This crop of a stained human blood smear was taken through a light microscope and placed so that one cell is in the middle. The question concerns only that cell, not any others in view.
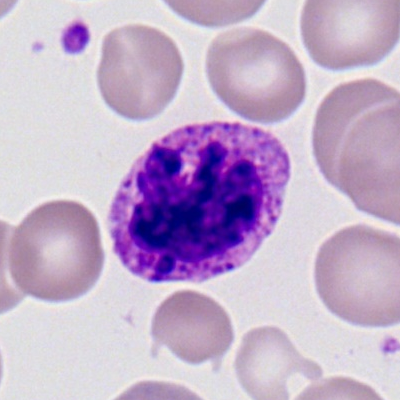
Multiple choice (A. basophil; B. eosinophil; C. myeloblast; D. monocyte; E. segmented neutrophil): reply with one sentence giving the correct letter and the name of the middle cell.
The centrally located cell is a basophil, making option A the correct choice.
